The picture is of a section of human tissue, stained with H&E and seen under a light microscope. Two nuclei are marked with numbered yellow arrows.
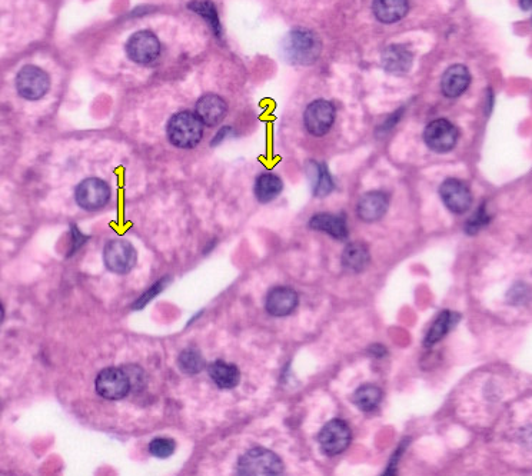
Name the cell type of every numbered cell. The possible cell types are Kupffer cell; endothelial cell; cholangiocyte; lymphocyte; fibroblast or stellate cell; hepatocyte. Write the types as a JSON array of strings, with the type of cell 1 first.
["hepatocyte", "lymphocyte"]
